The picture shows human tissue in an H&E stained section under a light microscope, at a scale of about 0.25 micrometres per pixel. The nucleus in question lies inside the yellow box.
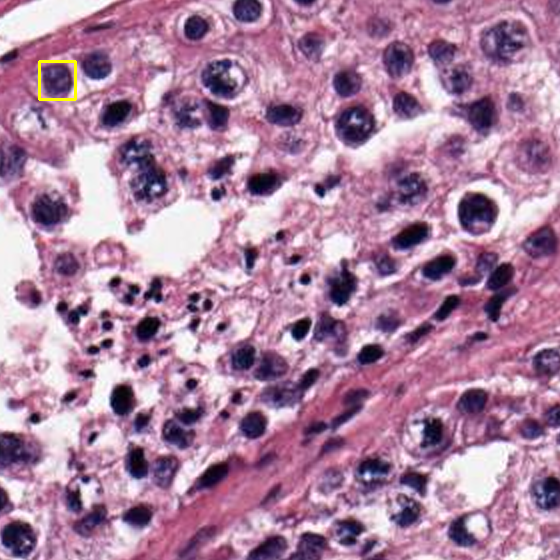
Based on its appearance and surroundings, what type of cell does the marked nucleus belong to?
spermatogonium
